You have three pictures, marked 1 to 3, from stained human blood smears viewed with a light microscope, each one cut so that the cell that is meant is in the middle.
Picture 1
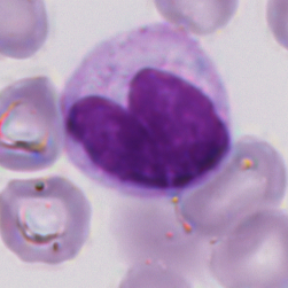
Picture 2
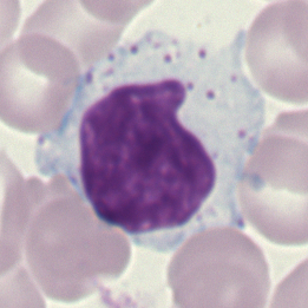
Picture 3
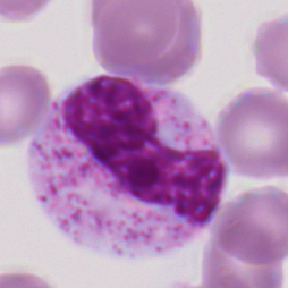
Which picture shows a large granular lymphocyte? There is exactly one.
2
